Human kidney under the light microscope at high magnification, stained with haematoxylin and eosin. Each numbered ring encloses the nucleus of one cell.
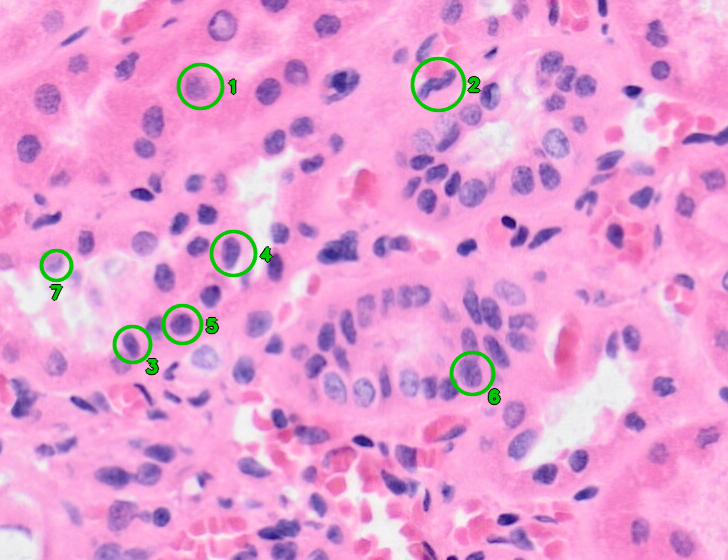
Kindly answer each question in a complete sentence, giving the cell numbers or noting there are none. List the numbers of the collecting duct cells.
Cell 6 is the one numbered cell that is a collecting duct cell.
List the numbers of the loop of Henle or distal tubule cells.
Cells numbered 3, 4, 5 and 7 belong to the group of loop of Henle or distal tubule cells.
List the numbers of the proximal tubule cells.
Only at number 1 is there a proximal tubule cell.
